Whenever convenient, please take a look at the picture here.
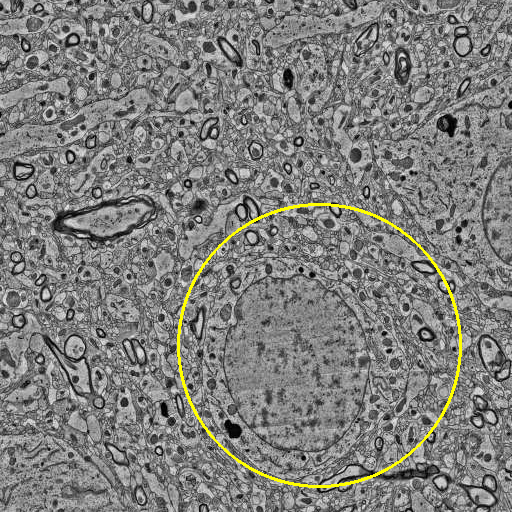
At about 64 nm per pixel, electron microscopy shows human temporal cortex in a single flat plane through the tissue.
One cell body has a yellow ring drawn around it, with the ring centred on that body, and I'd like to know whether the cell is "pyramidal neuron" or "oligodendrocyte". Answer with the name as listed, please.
pyramidal neuron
